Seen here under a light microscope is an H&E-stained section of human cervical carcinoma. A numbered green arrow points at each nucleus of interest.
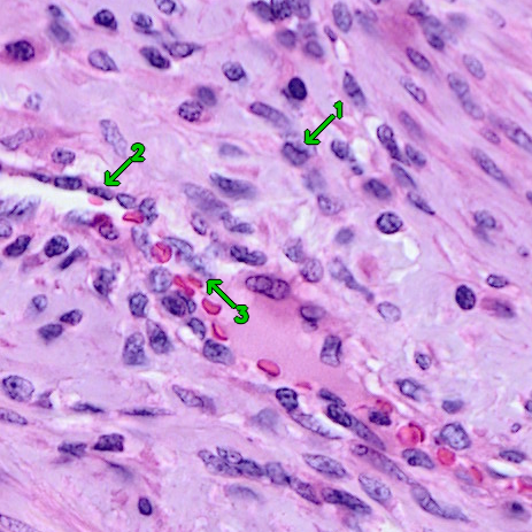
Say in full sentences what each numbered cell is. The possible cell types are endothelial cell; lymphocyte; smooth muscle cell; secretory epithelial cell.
Cell 1 is a lymphocyte. Cells 2 and 3 are endothelial cells.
